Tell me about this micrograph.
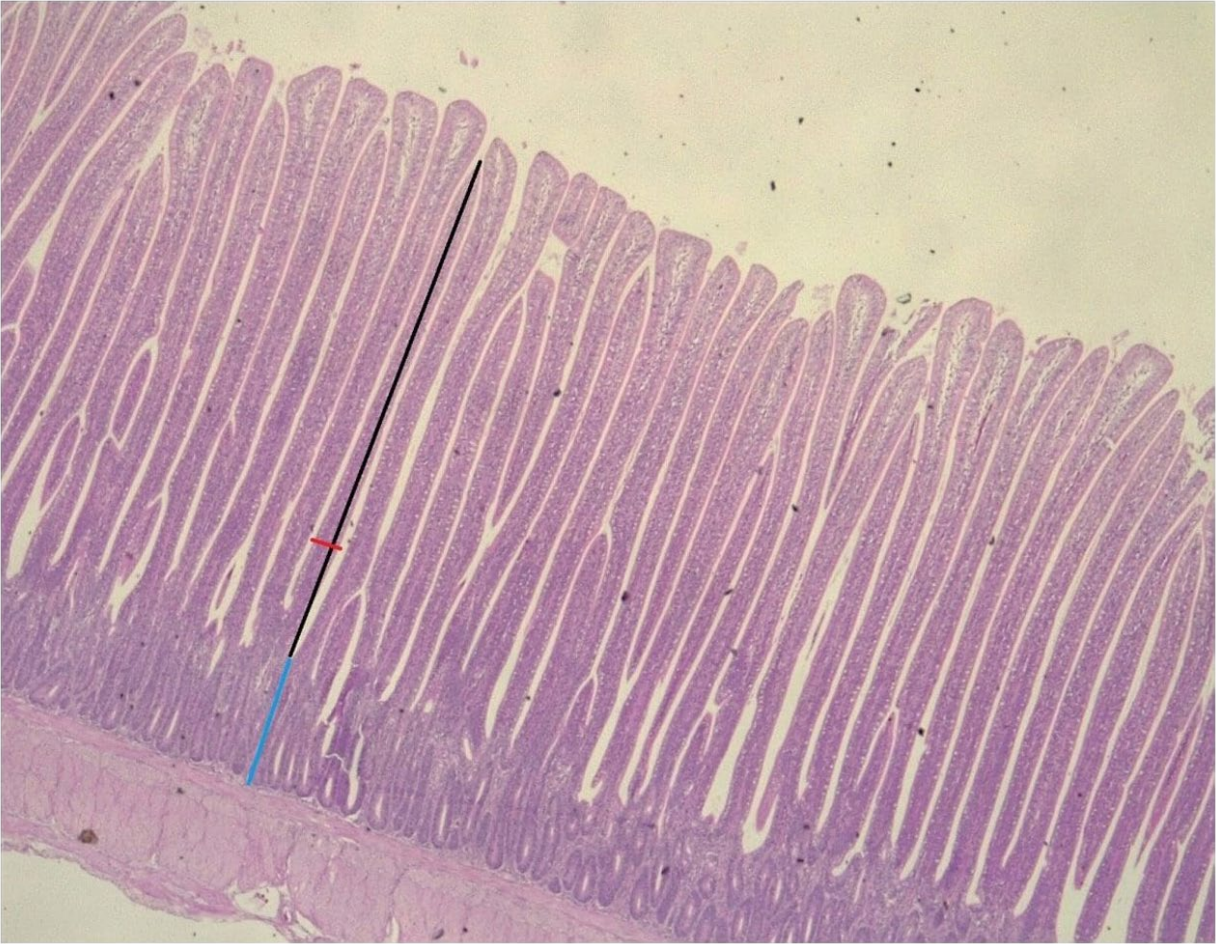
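The villi are tall and closely packed, with narrow pale clefts between them, and each is covered by a purple-staining lining with a lighter core; their rounded tips are at the upper edge. At their bases the mucosa turns a darker purple where the tubular crypts lie crowded together in a band. Below that runs a thin pink layer and then a broader, paler pink band of muscle at the bottom left.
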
